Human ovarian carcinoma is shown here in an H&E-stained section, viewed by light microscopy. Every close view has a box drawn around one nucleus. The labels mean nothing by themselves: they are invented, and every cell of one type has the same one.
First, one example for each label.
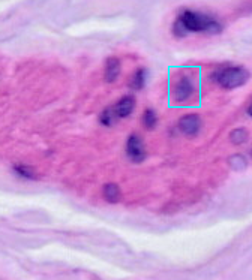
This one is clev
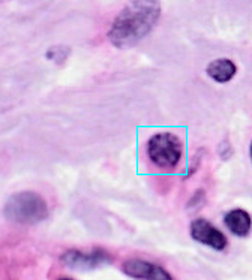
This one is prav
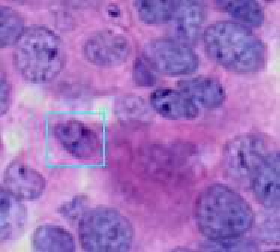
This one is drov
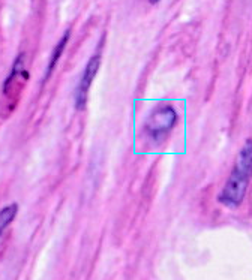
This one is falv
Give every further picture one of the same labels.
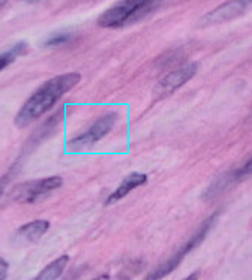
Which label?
clev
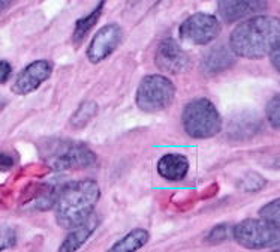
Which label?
prav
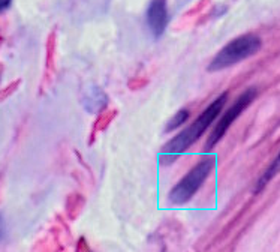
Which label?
clev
